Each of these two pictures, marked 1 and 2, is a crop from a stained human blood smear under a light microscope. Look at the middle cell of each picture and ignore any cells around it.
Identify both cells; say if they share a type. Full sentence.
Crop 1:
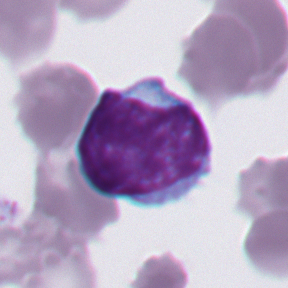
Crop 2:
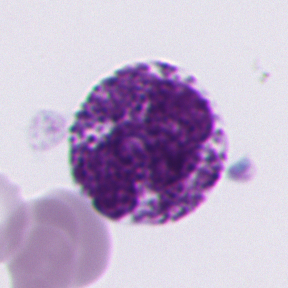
No, a typical lymphocyte is in crop 1, and a basophil is in crop 2.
